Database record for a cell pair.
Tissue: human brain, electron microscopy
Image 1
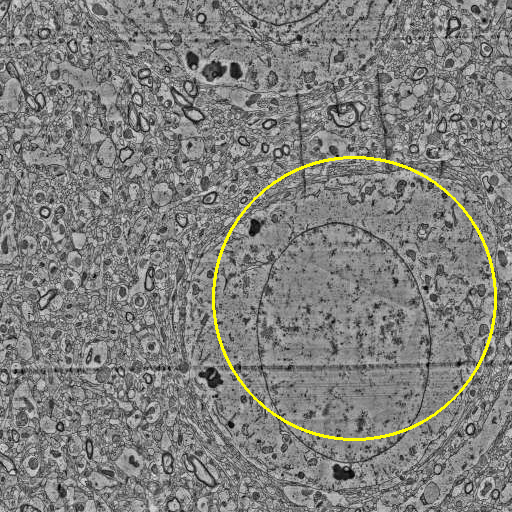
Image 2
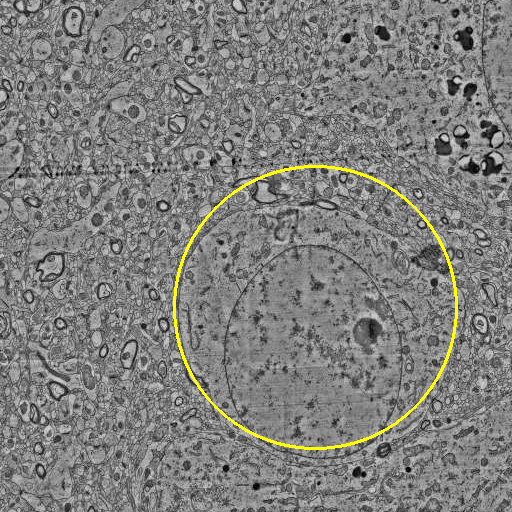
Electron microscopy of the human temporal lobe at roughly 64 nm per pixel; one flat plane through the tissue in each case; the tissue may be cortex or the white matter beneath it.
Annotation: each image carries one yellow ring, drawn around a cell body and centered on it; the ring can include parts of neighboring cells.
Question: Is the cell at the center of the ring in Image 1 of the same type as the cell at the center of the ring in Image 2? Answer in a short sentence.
Yes, the cells are of the same type.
